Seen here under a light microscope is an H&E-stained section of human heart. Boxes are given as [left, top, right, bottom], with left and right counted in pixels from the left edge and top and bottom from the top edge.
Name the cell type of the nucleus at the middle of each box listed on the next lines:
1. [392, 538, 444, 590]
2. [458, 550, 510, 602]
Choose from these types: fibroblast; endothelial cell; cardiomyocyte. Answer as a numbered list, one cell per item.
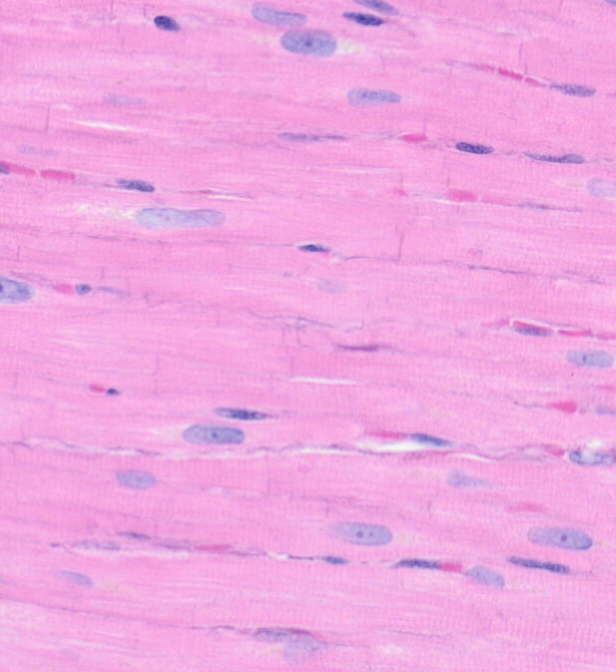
1. endothelial cell
2. cardiomyocyte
